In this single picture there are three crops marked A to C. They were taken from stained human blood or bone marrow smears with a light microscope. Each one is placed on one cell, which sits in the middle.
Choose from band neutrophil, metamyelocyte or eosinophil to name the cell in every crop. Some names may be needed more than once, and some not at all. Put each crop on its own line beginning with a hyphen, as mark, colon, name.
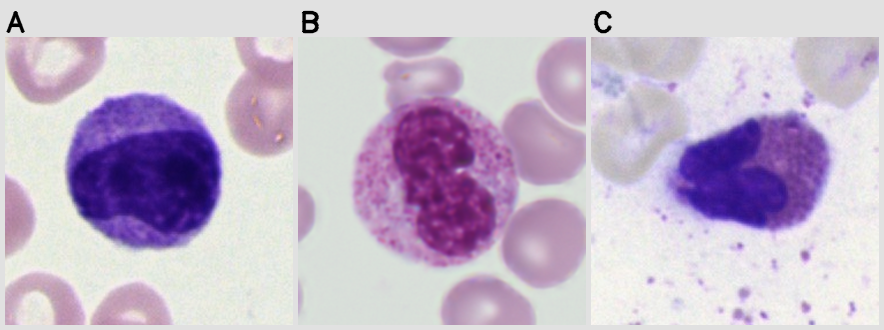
- A: metamyelocyte
- B: band neutrophil
- C: eosinophil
